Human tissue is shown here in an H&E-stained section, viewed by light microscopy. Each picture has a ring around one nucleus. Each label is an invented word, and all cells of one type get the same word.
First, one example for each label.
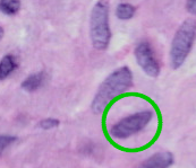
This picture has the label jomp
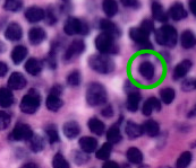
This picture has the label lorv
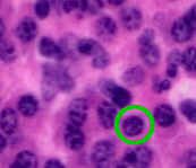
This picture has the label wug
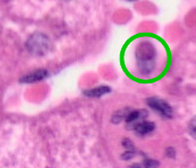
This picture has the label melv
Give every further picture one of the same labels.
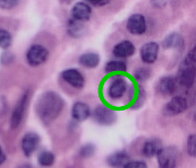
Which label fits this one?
wug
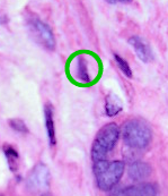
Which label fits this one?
jomp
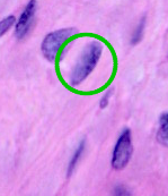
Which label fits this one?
jomp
